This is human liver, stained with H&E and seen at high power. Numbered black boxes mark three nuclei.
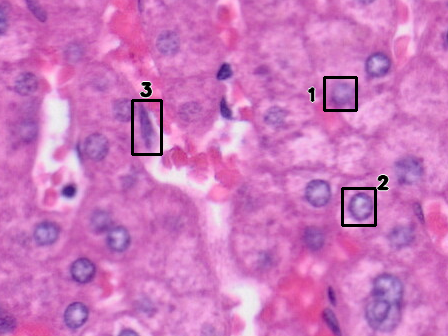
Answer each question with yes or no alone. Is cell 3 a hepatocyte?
no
